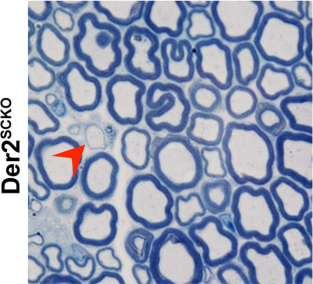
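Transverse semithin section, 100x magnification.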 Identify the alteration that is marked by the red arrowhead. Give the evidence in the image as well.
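The marked axon lacks the thick dark myelin ring of its neighbours.
Conclusion: demyelinating/remyelinating fibers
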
